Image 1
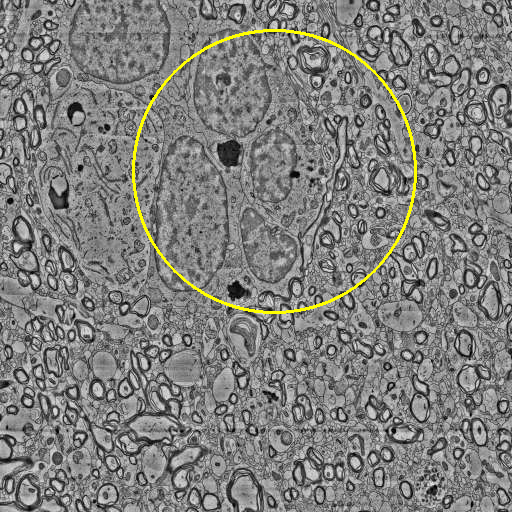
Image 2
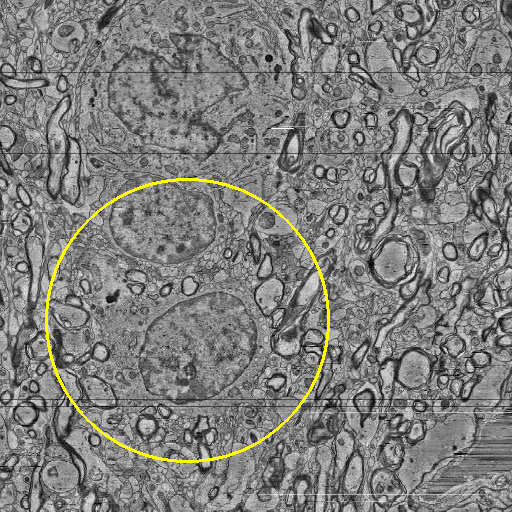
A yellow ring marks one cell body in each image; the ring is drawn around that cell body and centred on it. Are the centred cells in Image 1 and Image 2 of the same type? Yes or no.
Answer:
yes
